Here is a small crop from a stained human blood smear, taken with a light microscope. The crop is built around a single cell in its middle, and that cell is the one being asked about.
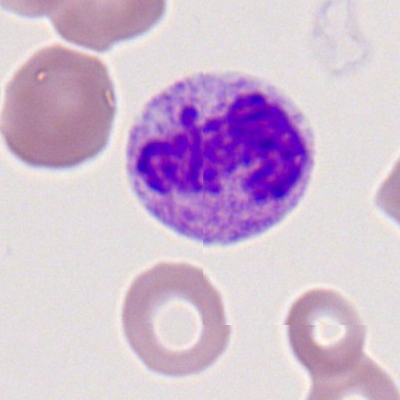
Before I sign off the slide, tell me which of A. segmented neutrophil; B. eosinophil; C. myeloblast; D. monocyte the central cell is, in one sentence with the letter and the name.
Option A is the right choice, the central cell being a segmented neutrophil.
